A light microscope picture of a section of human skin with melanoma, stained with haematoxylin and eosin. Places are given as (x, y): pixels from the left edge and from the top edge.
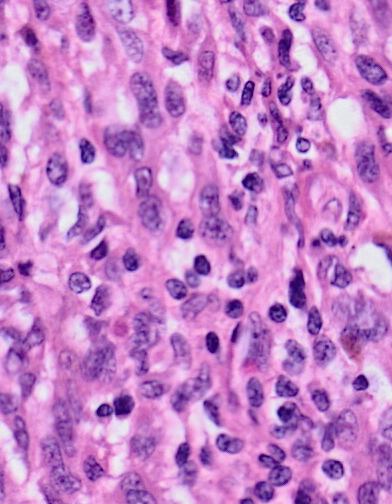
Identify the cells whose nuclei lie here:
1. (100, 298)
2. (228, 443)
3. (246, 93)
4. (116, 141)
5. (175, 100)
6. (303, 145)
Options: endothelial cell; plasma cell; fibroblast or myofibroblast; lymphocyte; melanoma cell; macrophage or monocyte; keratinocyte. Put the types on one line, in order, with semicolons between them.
melanoma cell; lymphocyte; lymphocyte; melanoma cell; melanoma cell; lymphocyte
